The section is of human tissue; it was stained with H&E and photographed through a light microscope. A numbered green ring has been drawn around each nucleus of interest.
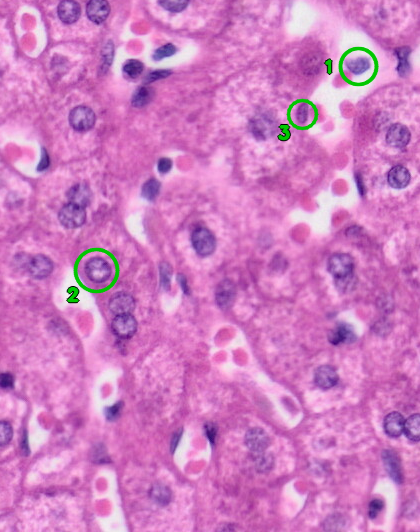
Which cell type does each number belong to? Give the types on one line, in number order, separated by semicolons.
lymphocyte; hepatocyte; Kupffer cell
